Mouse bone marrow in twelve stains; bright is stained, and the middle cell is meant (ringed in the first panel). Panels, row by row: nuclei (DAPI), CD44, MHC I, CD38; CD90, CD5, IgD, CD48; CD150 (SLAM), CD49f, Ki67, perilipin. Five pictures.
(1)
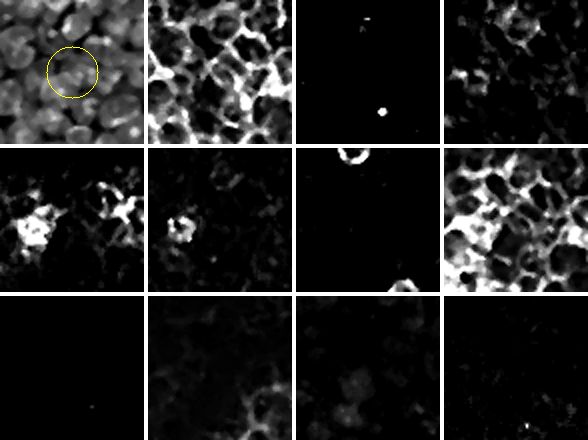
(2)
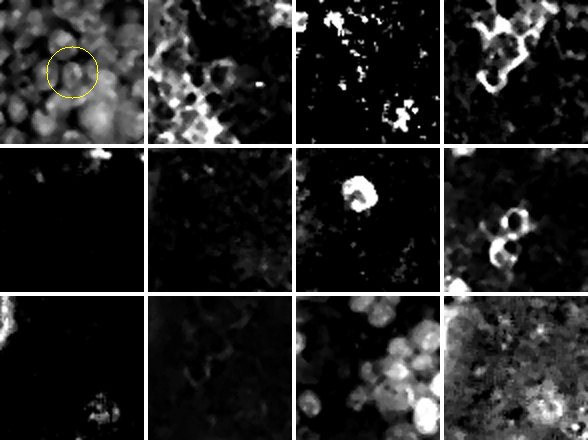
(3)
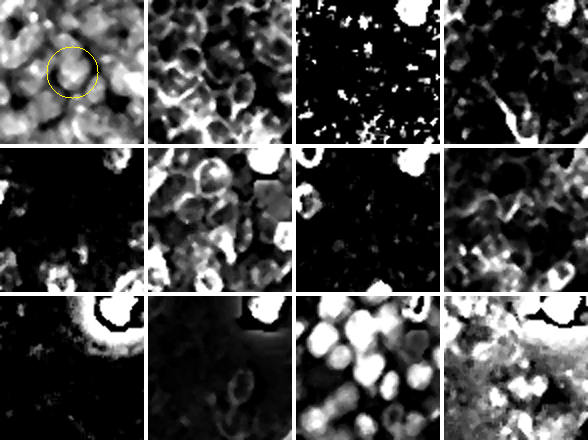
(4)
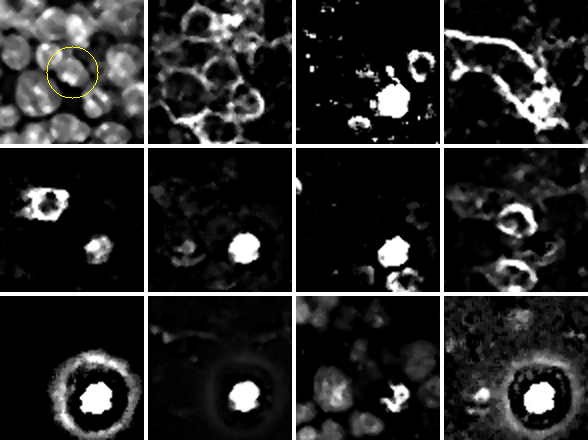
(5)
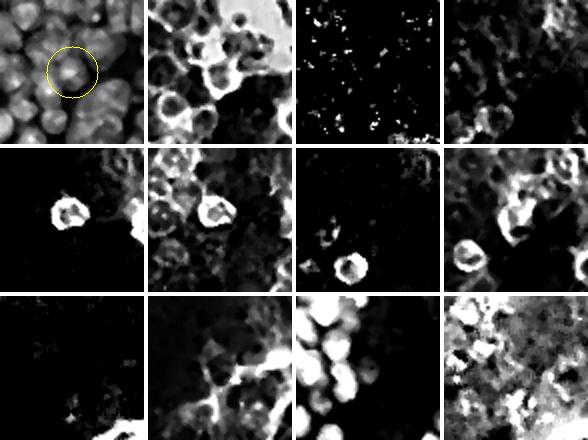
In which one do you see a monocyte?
In picture 4.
